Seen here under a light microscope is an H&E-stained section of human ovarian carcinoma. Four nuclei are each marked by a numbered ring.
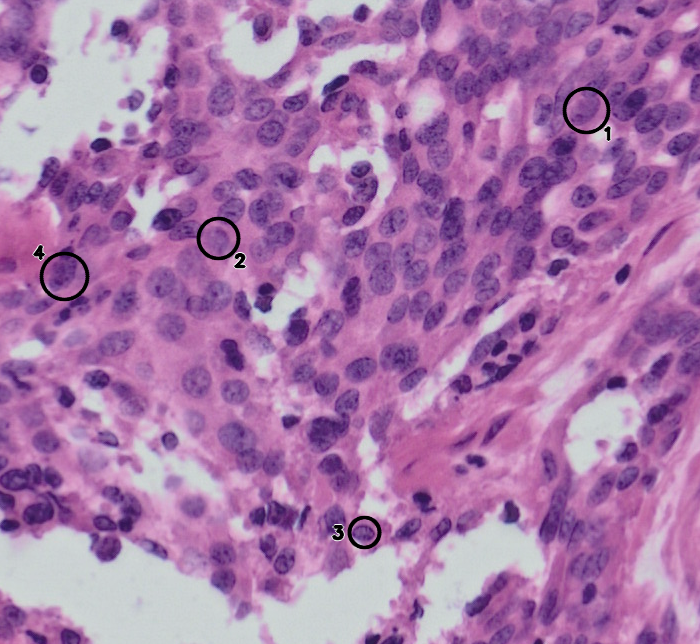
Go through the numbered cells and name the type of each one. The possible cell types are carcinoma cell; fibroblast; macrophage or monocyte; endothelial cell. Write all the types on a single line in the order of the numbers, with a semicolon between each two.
carcinoma cell; carcinoma cell; macrophage or monocyte; carcinoma cell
